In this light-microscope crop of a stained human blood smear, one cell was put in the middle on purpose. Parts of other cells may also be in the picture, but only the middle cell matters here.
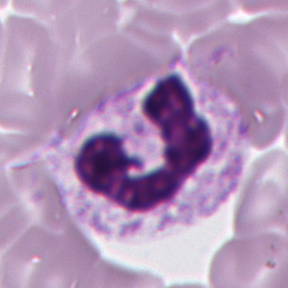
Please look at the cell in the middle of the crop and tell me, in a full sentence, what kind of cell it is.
The centrally placed cell is classified as a neutrophil.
